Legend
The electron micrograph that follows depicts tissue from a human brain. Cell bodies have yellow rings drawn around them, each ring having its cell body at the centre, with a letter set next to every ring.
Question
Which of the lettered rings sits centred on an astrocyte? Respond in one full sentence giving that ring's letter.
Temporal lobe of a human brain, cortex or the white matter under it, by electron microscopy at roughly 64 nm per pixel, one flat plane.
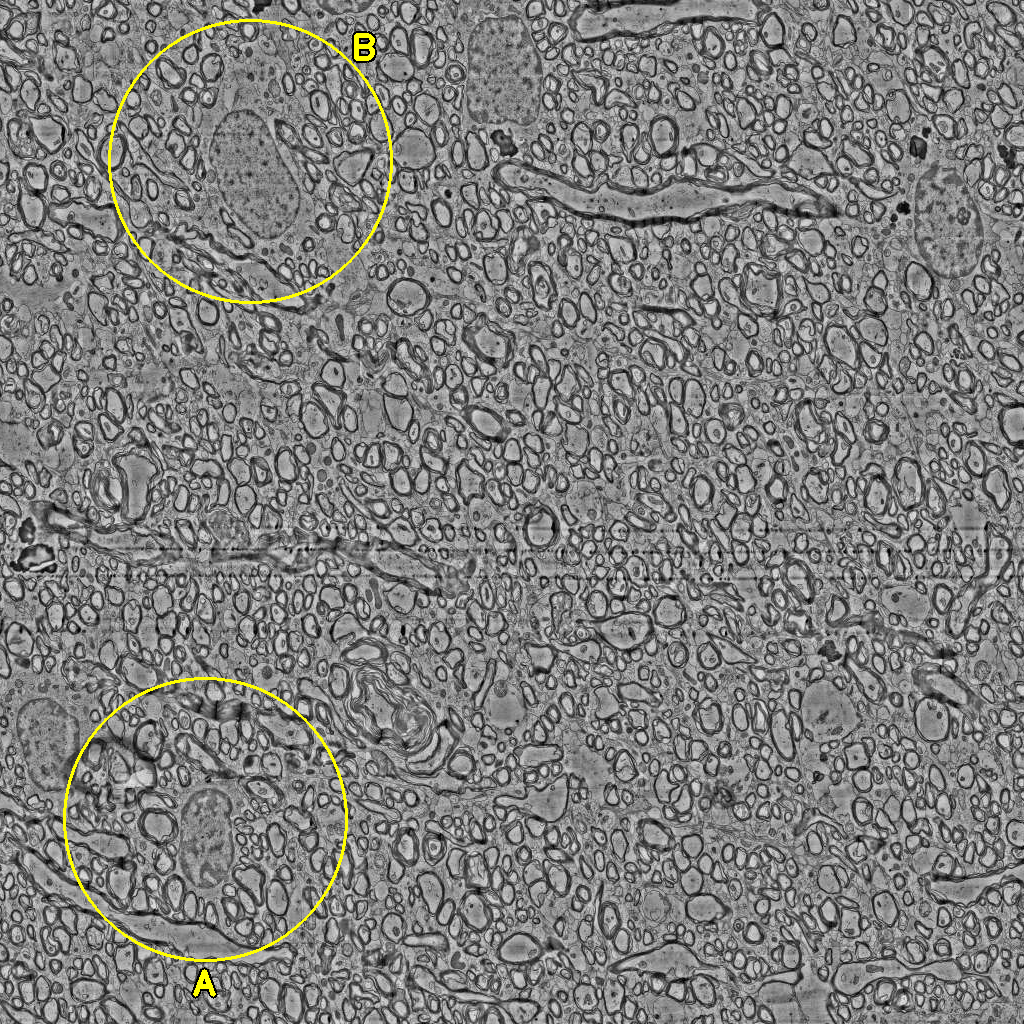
The letter B belongs to the ring centred on the cell asked about in the micrograph.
